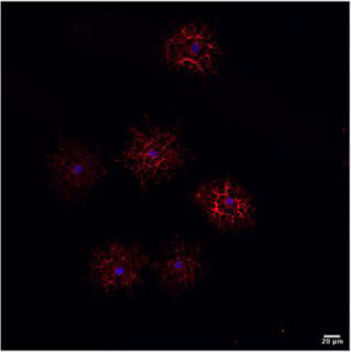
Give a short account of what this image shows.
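These are immature oligodendrocytes in culture, lying singly and well apart from one another. Each has a small, round blue nucleus at its centre. From the cell body a dense web of fine red processes radiates in all directions, branching again and again. The branches make roughly circular arbors around each cell, which look lacy rather than solid. There are no broad flat membrane sheets yet.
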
